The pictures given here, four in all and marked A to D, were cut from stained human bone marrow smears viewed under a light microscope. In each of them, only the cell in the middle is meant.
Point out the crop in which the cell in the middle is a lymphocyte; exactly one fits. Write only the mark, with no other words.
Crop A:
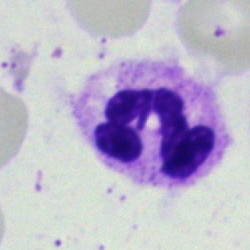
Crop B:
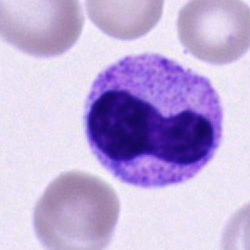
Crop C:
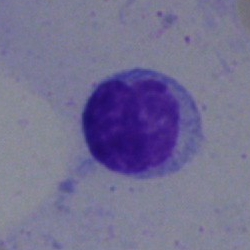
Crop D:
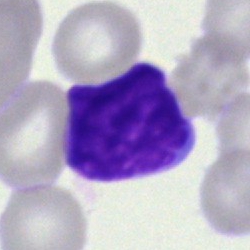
C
